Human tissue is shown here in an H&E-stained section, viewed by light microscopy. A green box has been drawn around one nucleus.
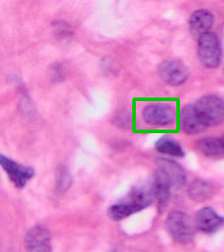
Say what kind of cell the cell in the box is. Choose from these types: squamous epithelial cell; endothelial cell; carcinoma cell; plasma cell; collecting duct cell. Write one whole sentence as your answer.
Just put down that the cell in the box is a carcinoma cell.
